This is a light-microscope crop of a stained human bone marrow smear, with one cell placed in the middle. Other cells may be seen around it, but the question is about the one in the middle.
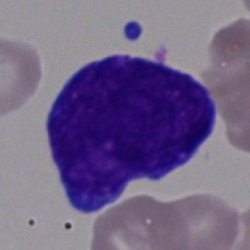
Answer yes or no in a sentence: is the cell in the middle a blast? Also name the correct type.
Yes, the cell here in the middle is a blast.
